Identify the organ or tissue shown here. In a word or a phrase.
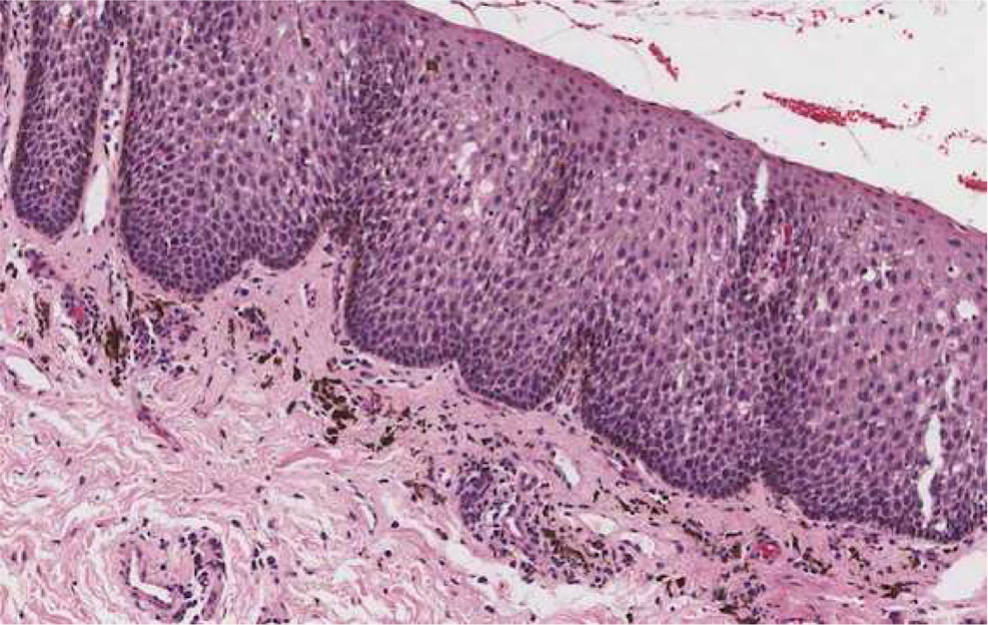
stratified squamous epithelium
